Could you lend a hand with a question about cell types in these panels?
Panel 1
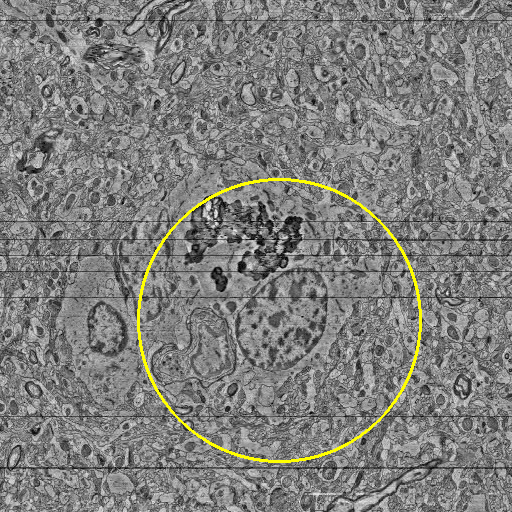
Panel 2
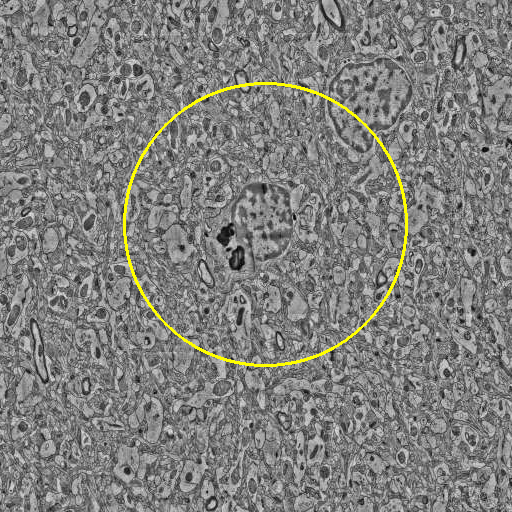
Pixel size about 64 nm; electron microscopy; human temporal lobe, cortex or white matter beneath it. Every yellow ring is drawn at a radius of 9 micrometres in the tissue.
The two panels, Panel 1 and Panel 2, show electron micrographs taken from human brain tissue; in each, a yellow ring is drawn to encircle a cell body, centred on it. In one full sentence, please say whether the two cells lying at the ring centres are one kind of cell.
No, the cells at the ring centres in the two panels are two kinds of cell.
